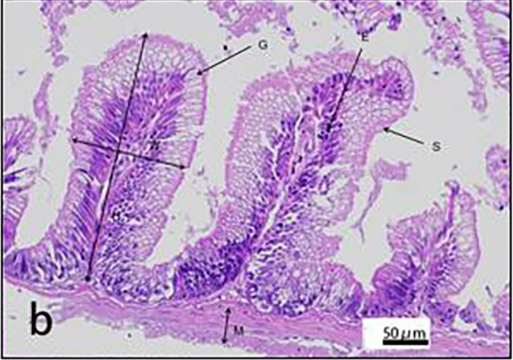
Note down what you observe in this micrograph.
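This section of intestine shows tall mucosal folds, or villi, rising from a thin wall into the lumen. Each villus is lined by a single layer of tall columnar epithelial cells whose elongated, dark purple nuclei lie in a band toward the base. The upper part of the epithelial cells is filled with pale, foamy, vacuolated cytoplasm, and a thin pink brush border, the striatum, lines the luminal surface. A thin core of connective tissue runs up the centre of each villus, and a pink muscular layer forms the outer wall at the base.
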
